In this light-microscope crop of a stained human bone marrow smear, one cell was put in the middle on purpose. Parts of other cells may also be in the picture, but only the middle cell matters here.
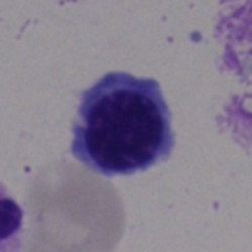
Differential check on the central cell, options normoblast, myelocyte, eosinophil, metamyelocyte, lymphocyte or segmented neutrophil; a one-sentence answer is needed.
The cell at the centre of the field is a normoblast.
